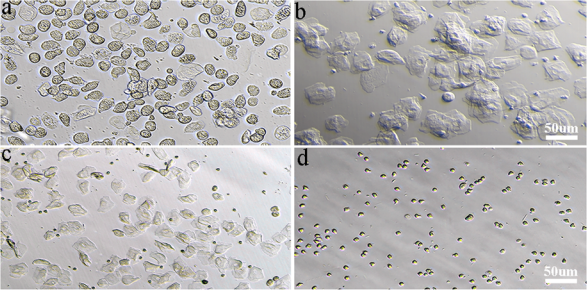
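In the first image the field is packed with rounded to oval cells of fairly even size, many with a nucleus visible in the middle. In the second image the cells are large, flat and irregular, with angular, crumpled outlines like flakes of bark, and no clear nuclei can be seen. The third image shows looser, scattered flat irregular cells with a few small round cells among them. In the last image almost all the cells are small, round and evenly spread, with none of the large flat cells left.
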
